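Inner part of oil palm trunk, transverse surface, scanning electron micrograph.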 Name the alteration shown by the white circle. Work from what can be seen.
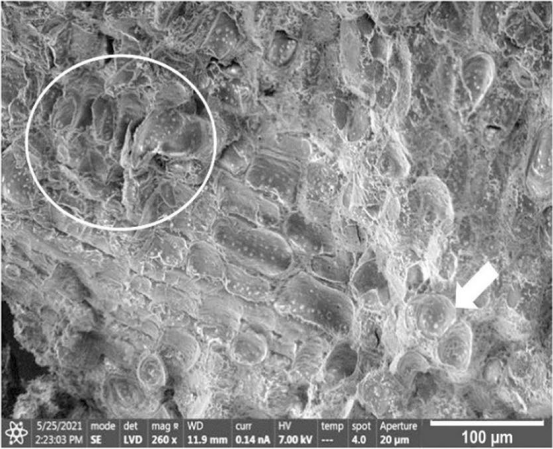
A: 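Deformed parenchyma lumen. Cells inside the circle are squeezed and elongated. Walls inside the circle are buckled and folded.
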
